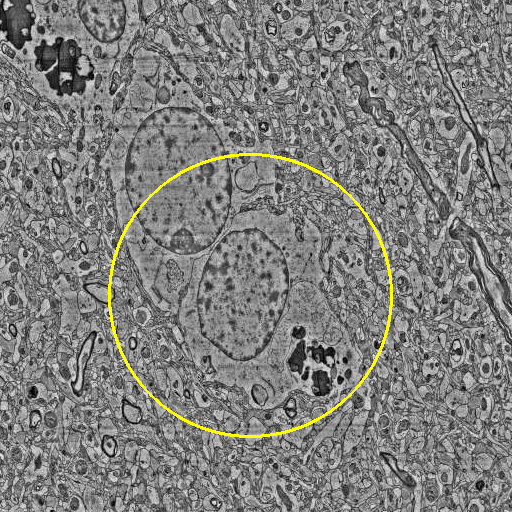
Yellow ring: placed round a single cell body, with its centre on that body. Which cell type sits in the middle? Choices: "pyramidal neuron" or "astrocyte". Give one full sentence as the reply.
It is an astrocyte whose cell body sits at the centre of the yellow ring.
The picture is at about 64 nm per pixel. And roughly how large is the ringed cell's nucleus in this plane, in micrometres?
In this plane, the nucleus of the cell at the centre of the ring measures about 8 by 6 micrometres.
